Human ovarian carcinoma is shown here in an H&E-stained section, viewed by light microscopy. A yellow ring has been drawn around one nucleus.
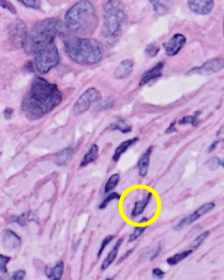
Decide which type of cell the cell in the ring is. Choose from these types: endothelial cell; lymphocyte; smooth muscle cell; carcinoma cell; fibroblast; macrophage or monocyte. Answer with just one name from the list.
fibroblast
